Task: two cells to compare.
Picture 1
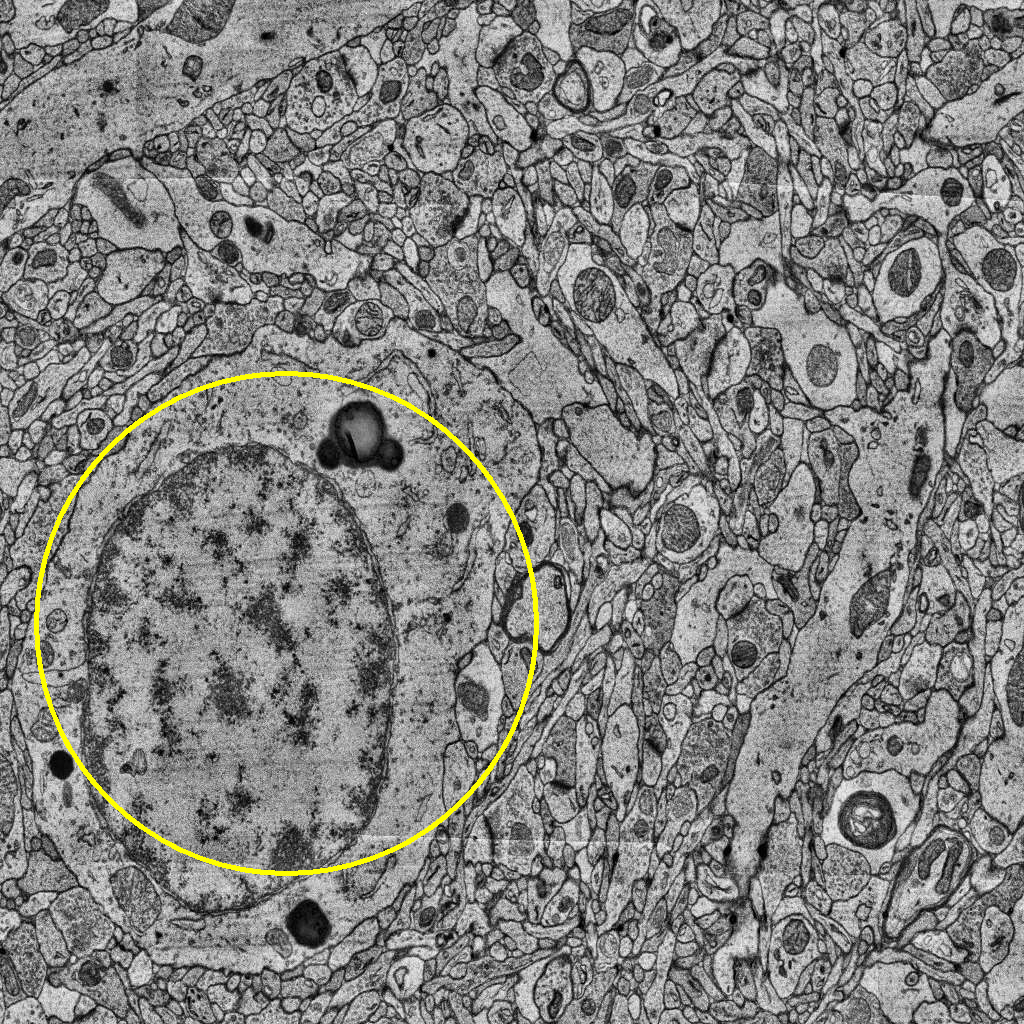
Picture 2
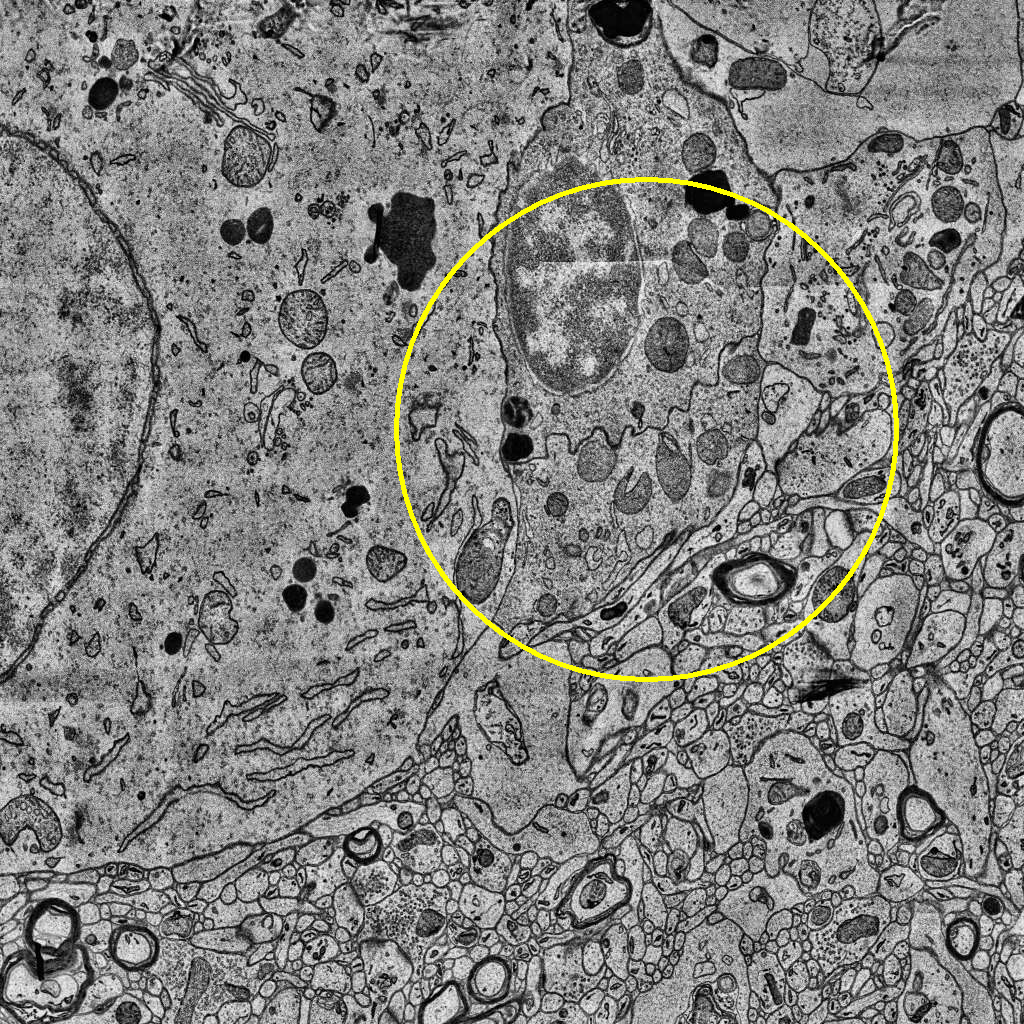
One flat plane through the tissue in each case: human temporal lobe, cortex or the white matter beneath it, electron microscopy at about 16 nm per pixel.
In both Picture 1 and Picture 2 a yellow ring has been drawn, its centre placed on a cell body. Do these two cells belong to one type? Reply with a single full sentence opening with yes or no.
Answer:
No, the two cells at the ring centres in Picture 1 and Picture 2 are of two types.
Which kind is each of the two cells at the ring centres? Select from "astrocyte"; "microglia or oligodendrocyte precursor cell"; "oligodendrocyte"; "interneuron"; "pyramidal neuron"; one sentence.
The first picture has a pyramidal neuron at its ring centre, and the second has an oligodendrocyte.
